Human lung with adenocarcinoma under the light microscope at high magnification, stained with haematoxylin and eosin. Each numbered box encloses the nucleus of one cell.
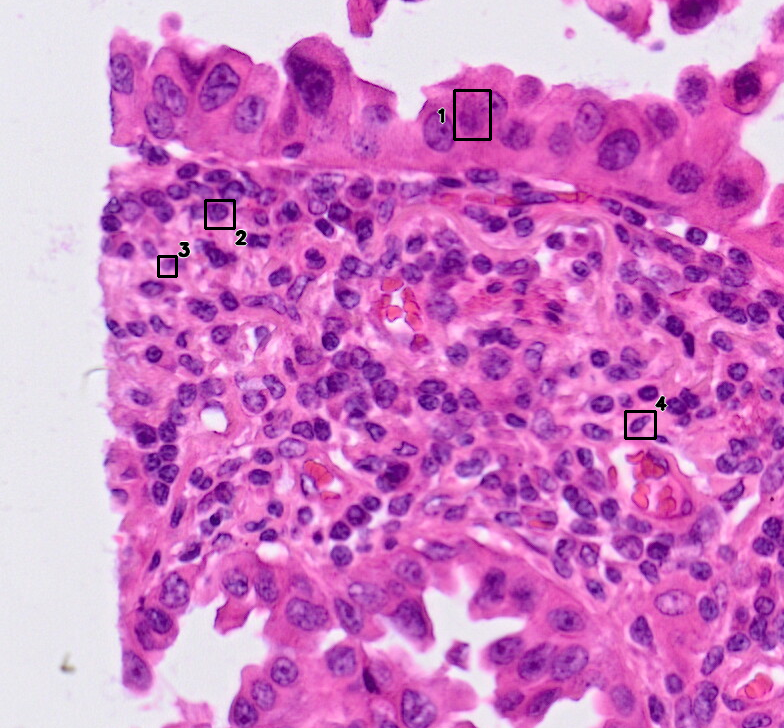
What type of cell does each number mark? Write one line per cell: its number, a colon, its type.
1: carcinoma cell
2: lymphocyte
3: lymphocyte
4: lymphocyte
